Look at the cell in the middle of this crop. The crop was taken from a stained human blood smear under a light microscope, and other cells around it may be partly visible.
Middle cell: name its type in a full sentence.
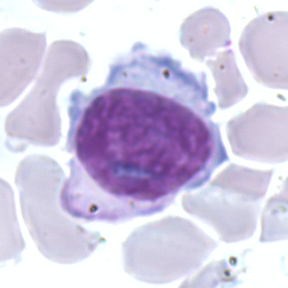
Classified as a plasma cell is the cell in the middle of this crop.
